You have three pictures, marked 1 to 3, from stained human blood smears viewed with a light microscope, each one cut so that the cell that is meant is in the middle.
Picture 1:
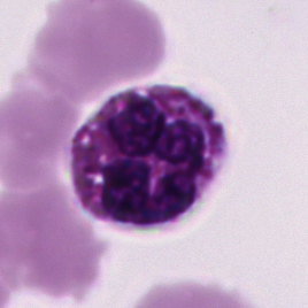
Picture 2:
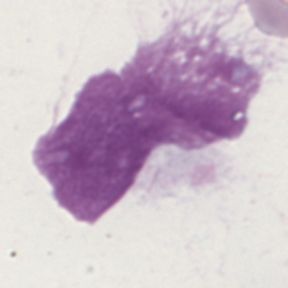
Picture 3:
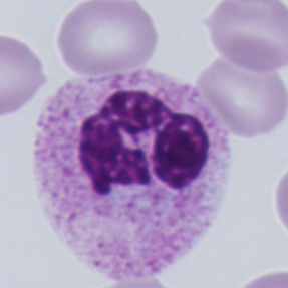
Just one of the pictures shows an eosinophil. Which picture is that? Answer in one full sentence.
It is picture 1 that shows the eosinophil.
